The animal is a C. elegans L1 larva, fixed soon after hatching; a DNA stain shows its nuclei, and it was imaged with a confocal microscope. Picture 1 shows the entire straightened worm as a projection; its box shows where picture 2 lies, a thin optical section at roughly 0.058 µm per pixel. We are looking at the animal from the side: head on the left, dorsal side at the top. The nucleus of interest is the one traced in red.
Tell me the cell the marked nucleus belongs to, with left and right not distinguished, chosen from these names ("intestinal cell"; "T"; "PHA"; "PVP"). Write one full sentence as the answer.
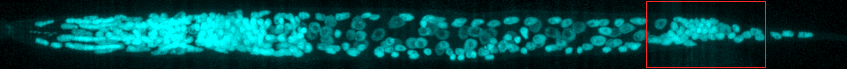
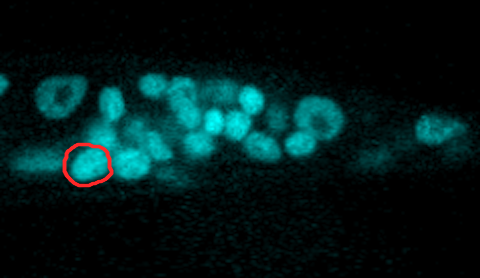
The marked nucleus belongs to PVP, a neuron.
